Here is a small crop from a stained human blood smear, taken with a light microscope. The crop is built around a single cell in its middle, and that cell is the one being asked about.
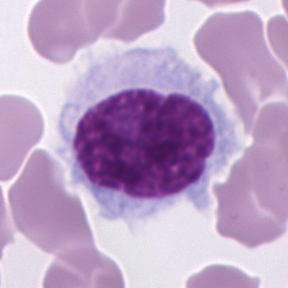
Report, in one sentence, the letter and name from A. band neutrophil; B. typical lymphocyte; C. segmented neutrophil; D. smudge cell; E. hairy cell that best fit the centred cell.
Since the cell in the centre is a hairy cell, the correct option is E.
